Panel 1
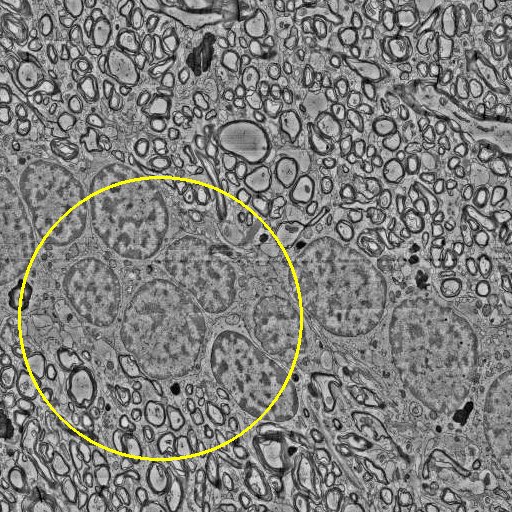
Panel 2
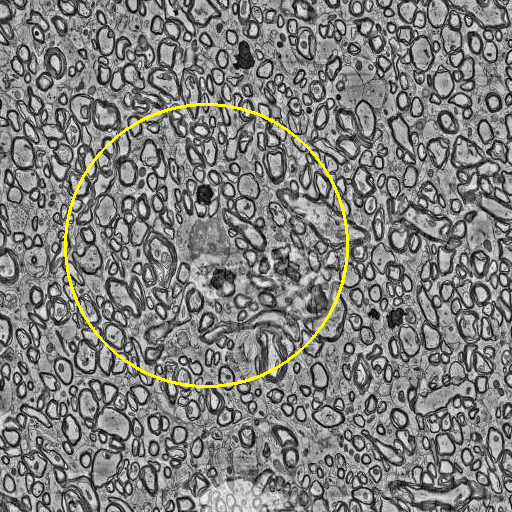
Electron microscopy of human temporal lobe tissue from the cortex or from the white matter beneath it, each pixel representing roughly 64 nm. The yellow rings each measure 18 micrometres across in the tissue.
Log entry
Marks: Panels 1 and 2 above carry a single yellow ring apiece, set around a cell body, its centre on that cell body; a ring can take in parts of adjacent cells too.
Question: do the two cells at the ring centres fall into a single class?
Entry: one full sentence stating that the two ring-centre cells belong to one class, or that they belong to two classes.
The two ring-centre cells in Panels 1 and 2 belong to one class.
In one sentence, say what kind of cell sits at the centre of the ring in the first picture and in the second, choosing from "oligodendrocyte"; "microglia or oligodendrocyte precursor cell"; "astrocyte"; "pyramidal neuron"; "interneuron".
The cell in the first picture is an oligodendrocyte, and so is the one in the second.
